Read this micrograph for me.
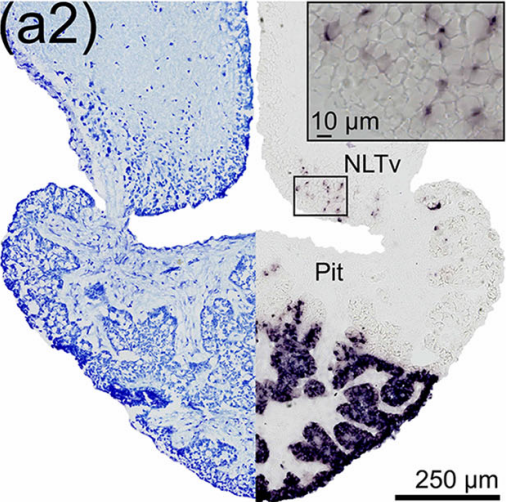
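The blue half shows densely packed cells in folded glandular cords in the pituitary and more loosely scattered small nuclei in the brain tissue above. In the right half, dark purple stain fills cords of the lower glandular pituitary, while small scattered purple cells with short processes lie in the brain tissue above, as seen in the enlarged inset.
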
